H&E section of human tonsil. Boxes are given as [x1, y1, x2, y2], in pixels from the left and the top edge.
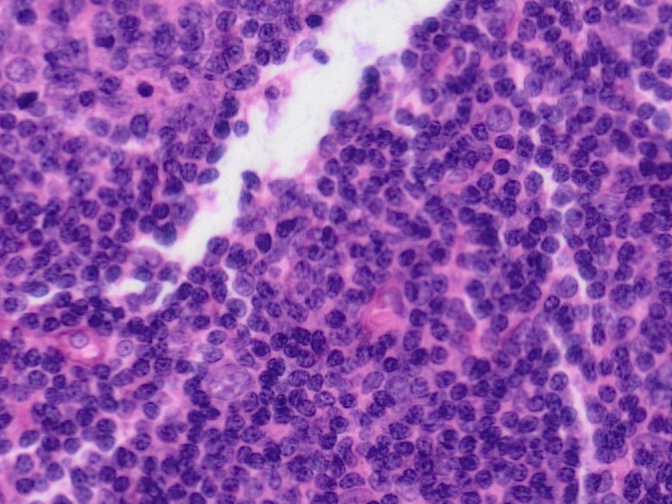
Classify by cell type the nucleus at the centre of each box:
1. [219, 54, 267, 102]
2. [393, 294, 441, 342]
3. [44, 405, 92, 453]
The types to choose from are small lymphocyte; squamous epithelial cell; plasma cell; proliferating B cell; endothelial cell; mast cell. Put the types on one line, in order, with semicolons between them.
proliferating B cell; small lymphocyte; small lymphocyte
